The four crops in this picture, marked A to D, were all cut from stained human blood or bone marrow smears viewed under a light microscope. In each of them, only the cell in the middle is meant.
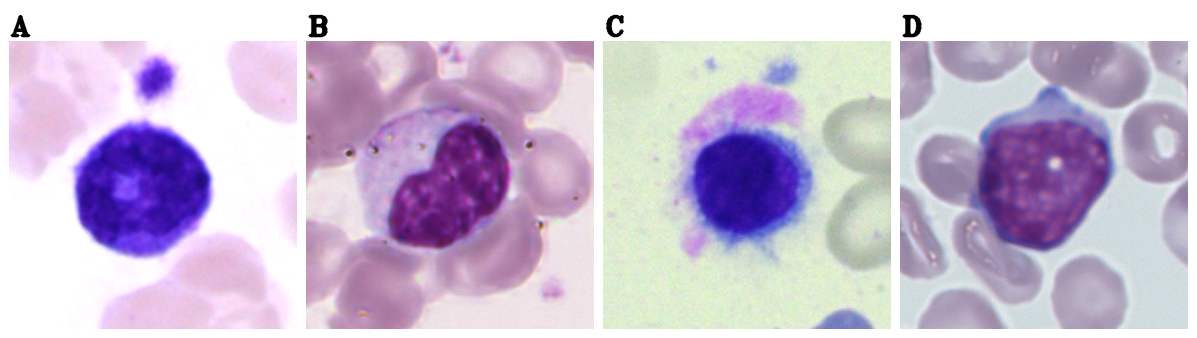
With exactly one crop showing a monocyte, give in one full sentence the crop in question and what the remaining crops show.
Inside crop A there is a monocyte, while crop B is a metamyelocyte, crop C is a hairy cell and crop D is a blast.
